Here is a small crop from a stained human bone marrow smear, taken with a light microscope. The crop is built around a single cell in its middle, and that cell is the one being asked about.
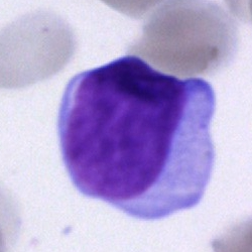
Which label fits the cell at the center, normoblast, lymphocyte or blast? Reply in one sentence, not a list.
The middle cell in this particular crop is a blast.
